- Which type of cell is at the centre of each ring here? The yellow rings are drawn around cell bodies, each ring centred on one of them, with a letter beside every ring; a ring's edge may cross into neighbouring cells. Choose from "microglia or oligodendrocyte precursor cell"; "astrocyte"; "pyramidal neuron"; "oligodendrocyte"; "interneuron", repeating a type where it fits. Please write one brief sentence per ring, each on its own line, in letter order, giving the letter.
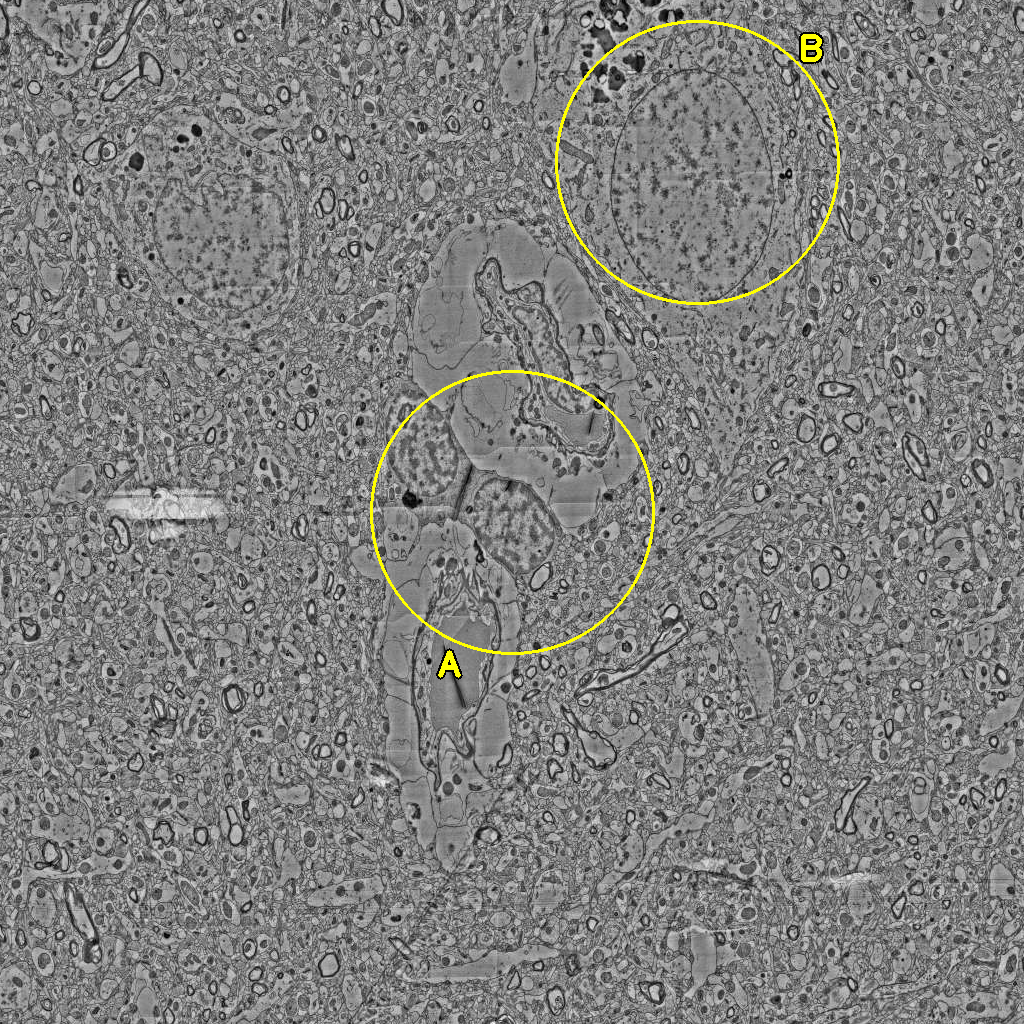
Ring A is centred over an oligodendrocyte.
Ring B is centred over a pyramidal neuron.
